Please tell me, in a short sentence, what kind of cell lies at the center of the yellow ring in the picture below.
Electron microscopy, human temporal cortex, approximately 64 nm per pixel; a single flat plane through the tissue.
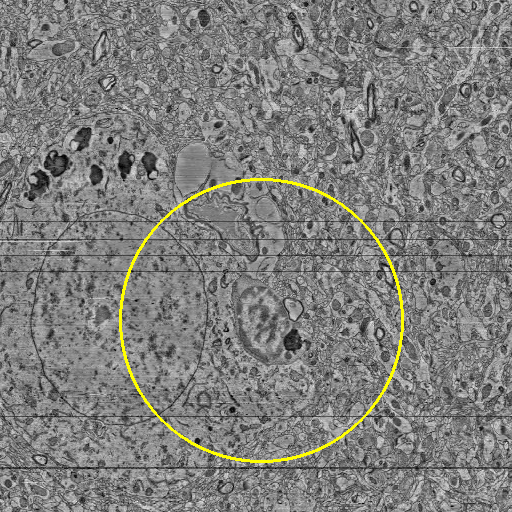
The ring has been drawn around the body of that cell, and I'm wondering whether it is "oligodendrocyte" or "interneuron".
The cell at the center of the ring is an oligodendrocyte.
